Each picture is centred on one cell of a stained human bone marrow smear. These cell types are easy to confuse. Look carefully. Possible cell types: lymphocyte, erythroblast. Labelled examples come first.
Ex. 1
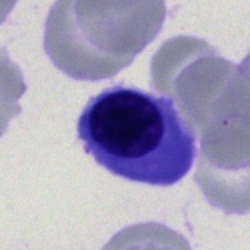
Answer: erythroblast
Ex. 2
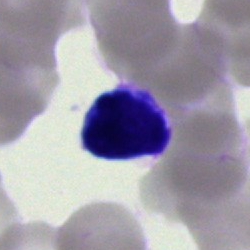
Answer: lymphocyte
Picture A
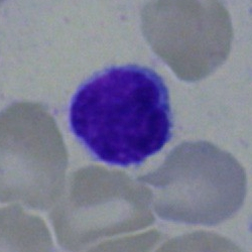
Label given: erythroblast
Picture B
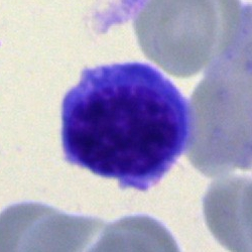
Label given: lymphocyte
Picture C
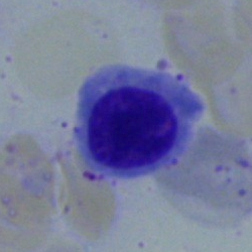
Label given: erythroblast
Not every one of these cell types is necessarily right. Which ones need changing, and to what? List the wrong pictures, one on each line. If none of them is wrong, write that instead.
A: not erythroblast but lymphocyte
B: not lymphocyte but erythroblast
